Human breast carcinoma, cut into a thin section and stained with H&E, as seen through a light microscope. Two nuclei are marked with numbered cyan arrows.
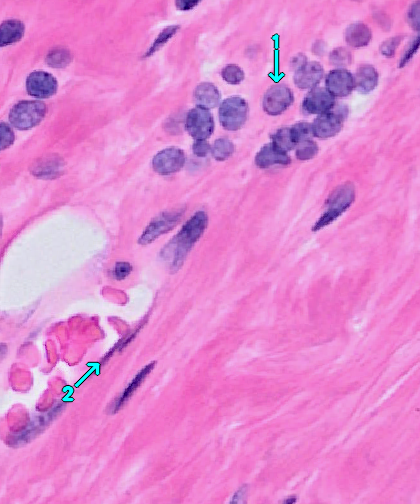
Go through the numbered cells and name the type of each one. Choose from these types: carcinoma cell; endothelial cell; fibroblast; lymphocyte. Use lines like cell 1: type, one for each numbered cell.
cell 1: carcinoma cell
cell 2: endothelial cell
